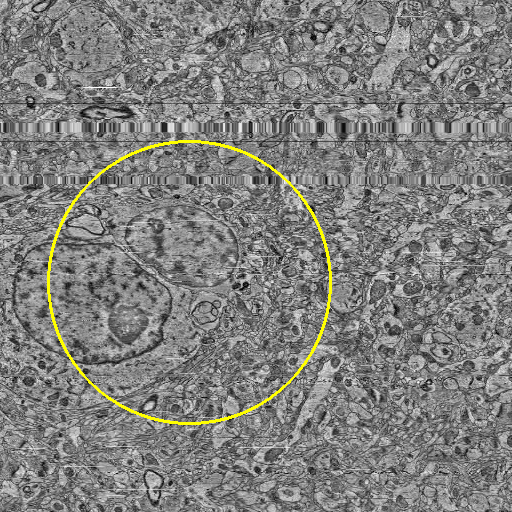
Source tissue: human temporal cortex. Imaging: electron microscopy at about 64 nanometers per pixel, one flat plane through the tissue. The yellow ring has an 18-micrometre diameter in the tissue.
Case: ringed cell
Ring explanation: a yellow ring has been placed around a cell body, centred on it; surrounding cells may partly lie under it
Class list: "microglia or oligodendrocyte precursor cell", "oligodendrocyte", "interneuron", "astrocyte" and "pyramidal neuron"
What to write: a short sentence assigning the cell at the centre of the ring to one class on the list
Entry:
The cell at the ring's centre is an oligodendrocyte.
